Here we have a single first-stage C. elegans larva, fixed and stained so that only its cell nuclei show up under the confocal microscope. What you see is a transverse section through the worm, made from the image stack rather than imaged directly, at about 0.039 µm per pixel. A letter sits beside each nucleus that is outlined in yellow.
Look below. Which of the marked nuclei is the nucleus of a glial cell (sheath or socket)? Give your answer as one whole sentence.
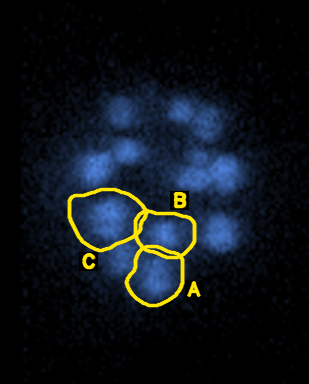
C is the nucleus of a glial cell (sheath or socket).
